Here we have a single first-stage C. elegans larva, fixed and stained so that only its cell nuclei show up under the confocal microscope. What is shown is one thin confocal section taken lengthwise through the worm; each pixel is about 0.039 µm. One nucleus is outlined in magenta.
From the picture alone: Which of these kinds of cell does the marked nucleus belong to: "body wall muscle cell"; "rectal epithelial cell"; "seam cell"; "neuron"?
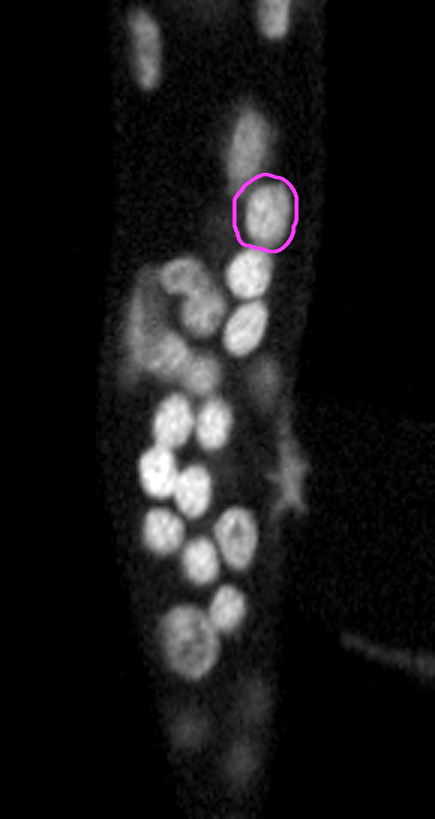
neuron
